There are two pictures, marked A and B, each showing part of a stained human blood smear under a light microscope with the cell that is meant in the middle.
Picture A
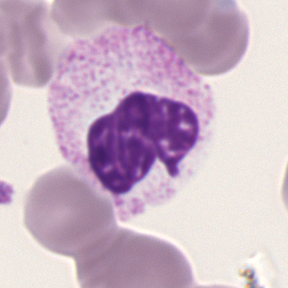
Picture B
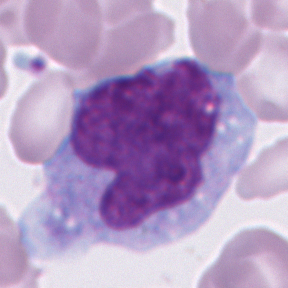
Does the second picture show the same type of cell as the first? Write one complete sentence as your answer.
No, picture A shows a segmented neutrophil and picture B shows a monocyte.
